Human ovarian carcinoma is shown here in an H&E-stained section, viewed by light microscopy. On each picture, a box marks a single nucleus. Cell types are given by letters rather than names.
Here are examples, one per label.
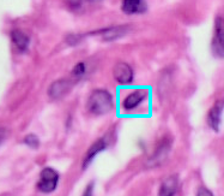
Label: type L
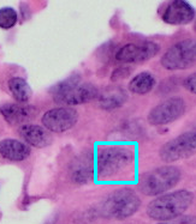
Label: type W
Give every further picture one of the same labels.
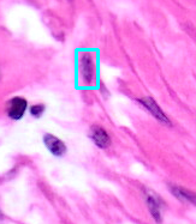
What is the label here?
type L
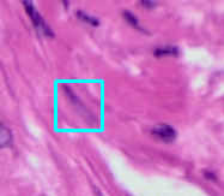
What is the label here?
type L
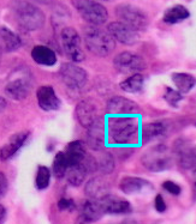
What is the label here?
type W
